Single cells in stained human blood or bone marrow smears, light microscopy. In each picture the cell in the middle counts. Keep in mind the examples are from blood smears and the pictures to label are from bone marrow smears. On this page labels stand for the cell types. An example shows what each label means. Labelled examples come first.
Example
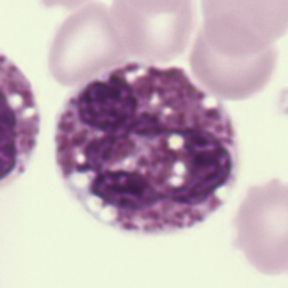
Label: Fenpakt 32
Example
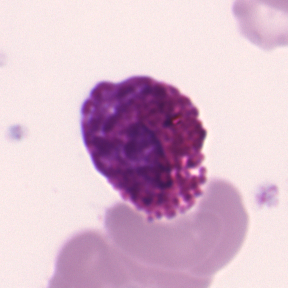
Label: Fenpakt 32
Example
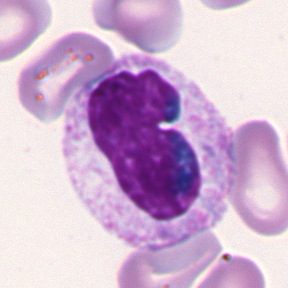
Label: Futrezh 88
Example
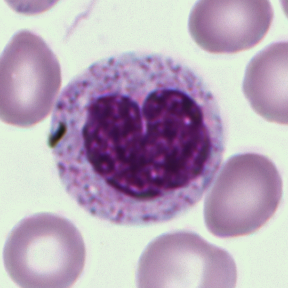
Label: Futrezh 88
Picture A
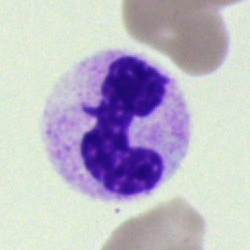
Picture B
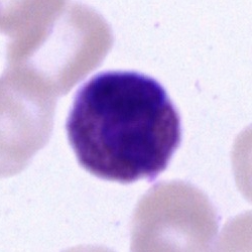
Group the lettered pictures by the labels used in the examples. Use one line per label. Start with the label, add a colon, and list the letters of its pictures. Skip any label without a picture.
Fenpakt 32: B
Futrezh 88: A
